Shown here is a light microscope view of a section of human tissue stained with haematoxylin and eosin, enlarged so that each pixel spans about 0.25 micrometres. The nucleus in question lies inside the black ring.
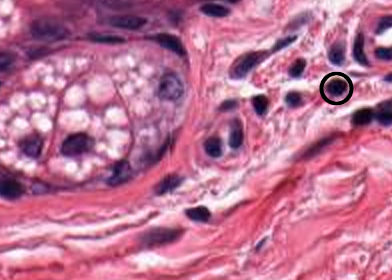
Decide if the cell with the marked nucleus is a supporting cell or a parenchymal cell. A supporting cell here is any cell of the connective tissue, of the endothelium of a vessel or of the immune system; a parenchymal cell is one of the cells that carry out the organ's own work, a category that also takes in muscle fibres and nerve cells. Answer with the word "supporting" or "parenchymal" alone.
supporting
